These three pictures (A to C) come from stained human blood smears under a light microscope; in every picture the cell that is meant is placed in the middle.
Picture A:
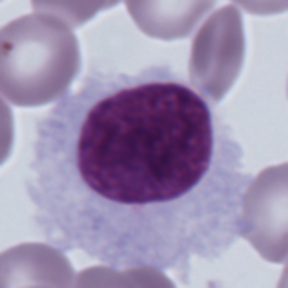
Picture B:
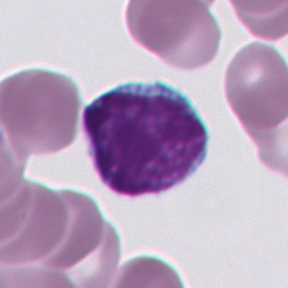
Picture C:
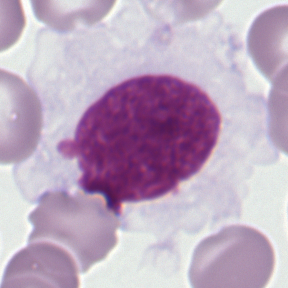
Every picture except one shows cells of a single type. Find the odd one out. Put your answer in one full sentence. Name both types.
Picture B is the odd one out: it shows a typical lymphocyte, while the others show hairy cells.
